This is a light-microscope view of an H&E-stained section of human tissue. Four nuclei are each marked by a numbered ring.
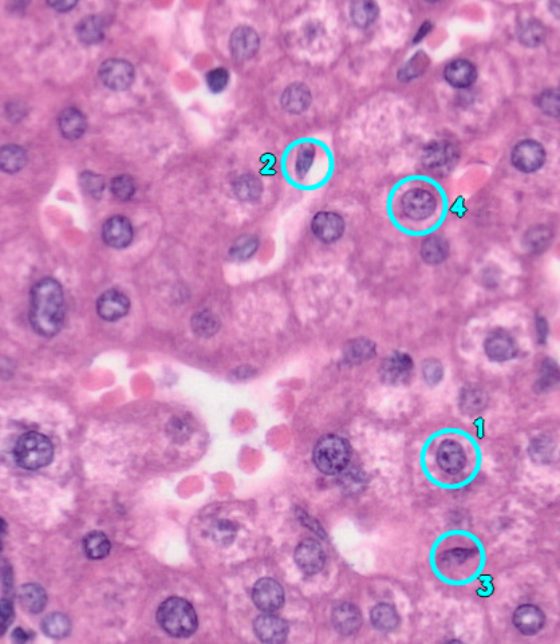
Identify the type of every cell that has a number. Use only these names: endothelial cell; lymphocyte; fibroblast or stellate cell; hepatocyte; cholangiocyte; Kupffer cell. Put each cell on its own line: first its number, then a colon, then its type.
1: hepatocyte
2: lymphocyte
3: fibroblast or stellate cell
4: hepatocyte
